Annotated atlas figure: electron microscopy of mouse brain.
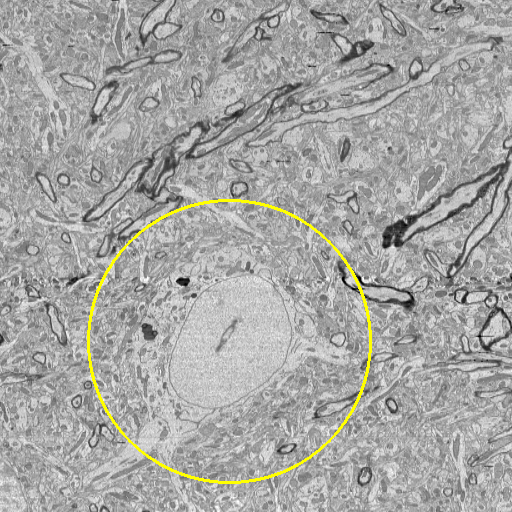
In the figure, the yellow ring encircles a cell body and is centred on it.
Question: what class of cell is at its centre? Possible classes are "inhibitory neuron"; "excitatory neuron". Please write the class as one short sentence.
The yellow ring is drawn around an excitatory neuron.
